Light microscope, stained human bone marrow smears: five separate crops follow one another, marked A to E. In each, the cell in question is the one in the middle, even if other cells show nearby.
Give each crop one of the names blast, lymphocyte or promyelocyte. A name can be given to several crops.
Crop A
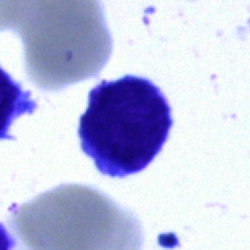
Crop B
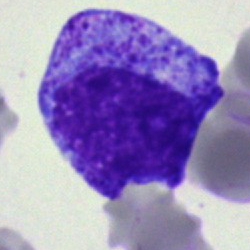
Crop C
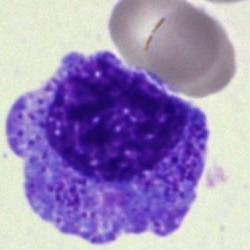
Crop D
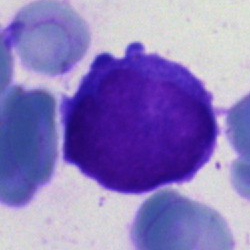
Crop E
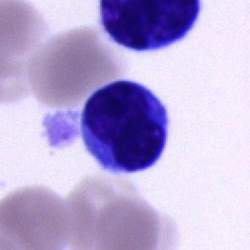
A: lymphocyte
B: promyelocyte
C: promyelocyte
D: blast
E: lymphocyte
